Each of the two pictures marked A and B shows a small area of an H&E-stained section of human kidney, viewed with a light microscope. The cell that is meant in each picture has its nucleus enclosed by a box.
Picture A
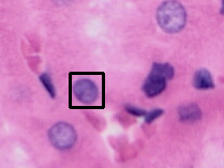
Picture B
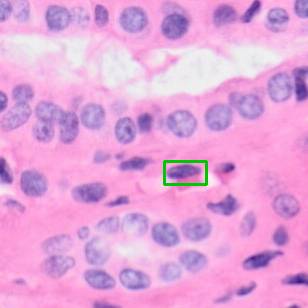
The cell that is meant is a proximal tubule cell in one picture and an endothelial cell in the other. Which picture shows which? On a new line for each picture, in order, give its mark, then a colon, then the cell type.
A: proximal tubule cell
B: endothelial cell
